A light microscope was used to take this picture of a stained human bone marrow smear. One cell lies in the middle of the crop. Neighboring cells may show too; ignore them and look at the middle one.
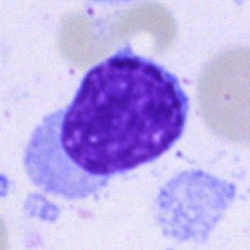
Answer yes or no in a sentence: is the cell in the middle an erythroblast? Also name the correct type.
No, instead of an erythroblast, the centred cell represents a lymphocyte.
